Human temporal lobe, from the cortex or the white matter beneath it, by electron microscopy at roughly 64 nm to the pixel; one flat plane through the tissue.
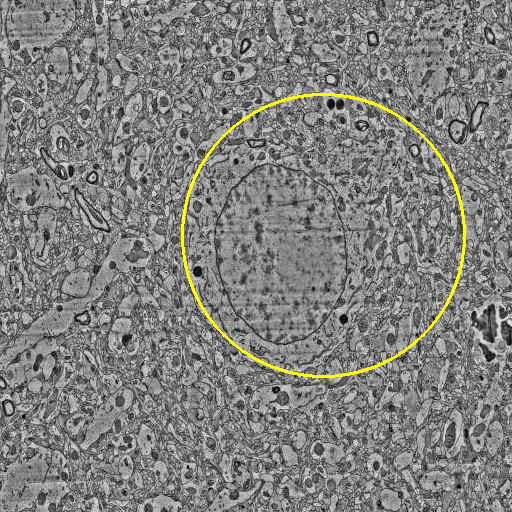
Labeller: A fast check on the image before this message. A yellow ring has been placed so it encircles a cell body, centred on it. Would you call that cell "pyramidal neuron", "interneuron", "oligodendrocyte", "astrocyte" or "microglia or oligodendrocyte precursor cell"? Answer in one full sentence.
In this image, a pyramidal neuron is the cell on which the yellow ring is centred.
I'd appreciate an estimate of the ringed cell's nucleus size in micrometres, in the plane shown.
In this plane the nucleus measures roughly 12 by 8 micrometres.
